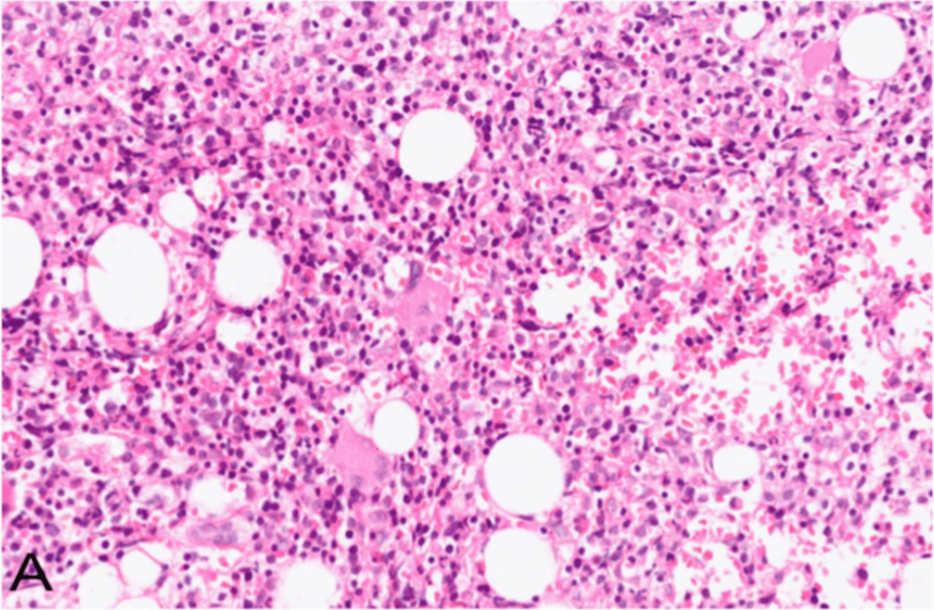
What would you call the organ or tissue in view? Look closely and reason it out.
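Bone marrow. Round empty fat spaces are scattered among densely packed cells. Mixed small haematopoietic cells fill the spaces between the fat spaces.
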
